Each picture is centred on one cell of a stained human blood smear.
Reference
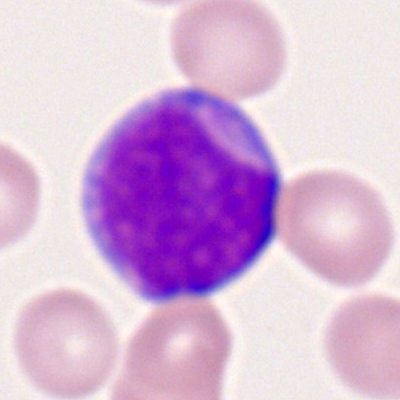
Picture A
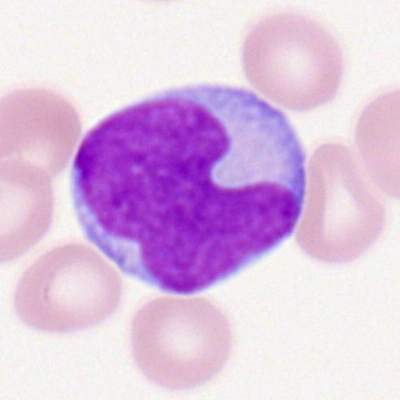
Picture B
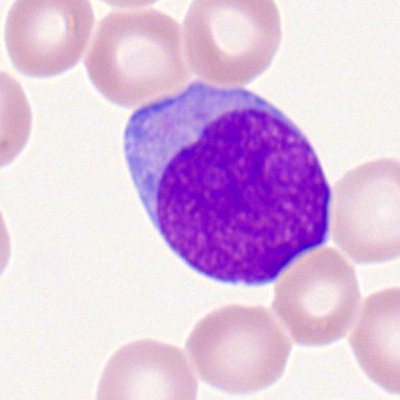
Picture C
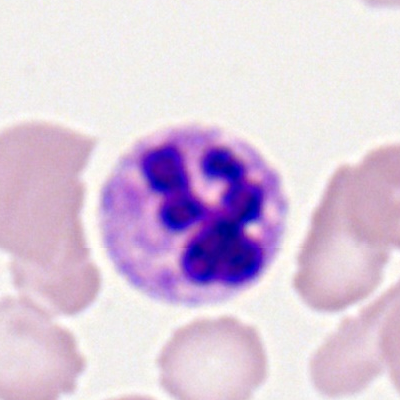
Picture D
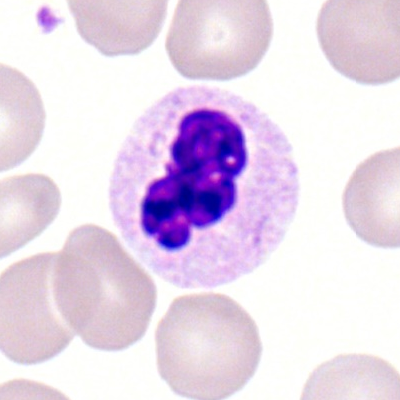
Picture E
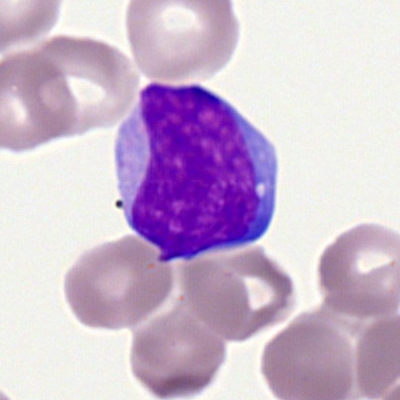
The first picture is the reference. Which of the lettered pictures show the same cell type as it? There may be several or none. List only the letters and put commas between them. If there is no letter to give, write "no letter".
A, B, E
